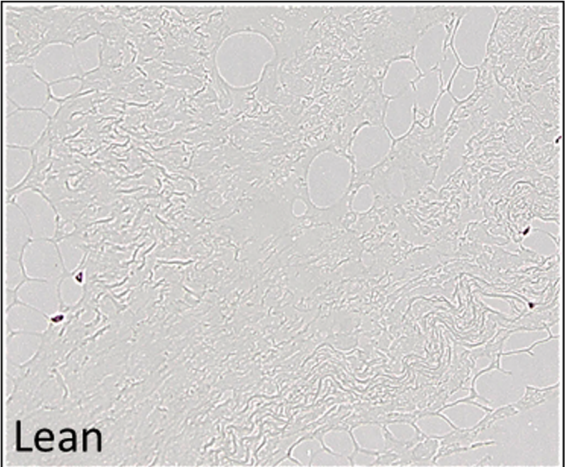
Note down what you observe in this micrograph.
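This section of adipose tissue shows rounded and polygonal empty fat cells at the edges of the field. A wide central area is taken up by denser, wavy, fibrous stroma. Only a few small dark purple cells are present, lying between the fat cells near the left and right edges.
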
